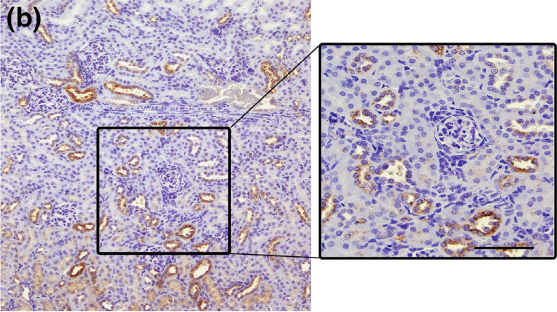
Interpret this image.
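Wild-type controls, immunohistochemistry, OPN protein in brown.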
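This is normal kidney cortex with closely packed tubules of cuboidal epithelial cells with round blue nuclei, and a few rounded glomeruli among them. Brown stain picks out the epithelium of scattered tubules, mostly at the border of their narrow lumina, while most of the other tubules and the glomeruli stay blue.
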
